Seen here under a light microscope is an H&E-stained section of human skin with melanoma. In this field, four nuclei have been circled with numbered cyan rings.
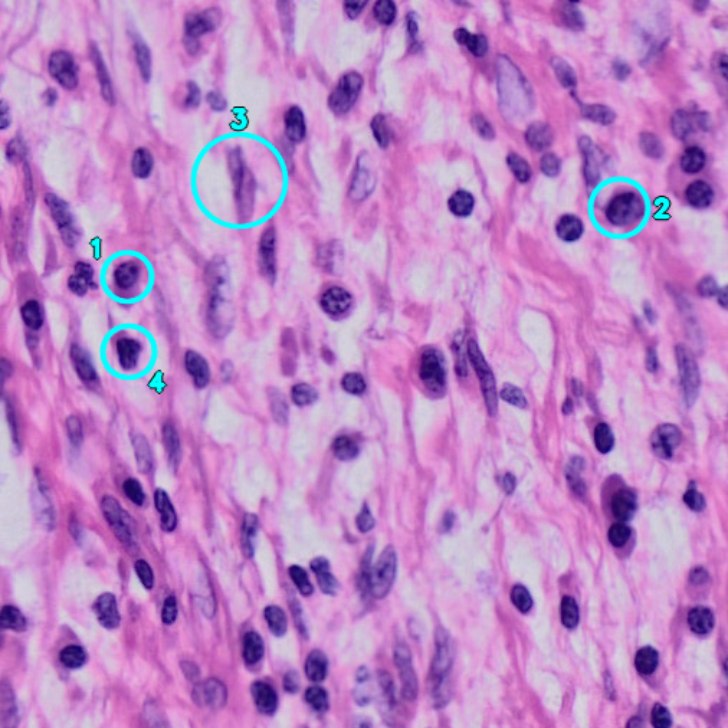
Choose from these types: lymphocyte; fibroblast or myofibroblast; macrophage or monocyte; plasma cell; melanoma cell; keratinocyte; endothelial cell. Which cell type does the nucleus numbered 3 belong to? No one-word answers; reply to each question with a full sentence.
The cell marked with number 3 is a fibroblast or myofibroblast.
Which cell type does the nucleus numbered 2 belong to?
The mark numbered 2 indicates the nucleus of a plasma cell.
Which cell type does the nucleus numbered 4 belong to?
The cell pointed out as number 4 is a plasma cell.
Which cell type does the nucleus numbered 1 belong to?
The cell referred to as 1 is a plasma cell.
